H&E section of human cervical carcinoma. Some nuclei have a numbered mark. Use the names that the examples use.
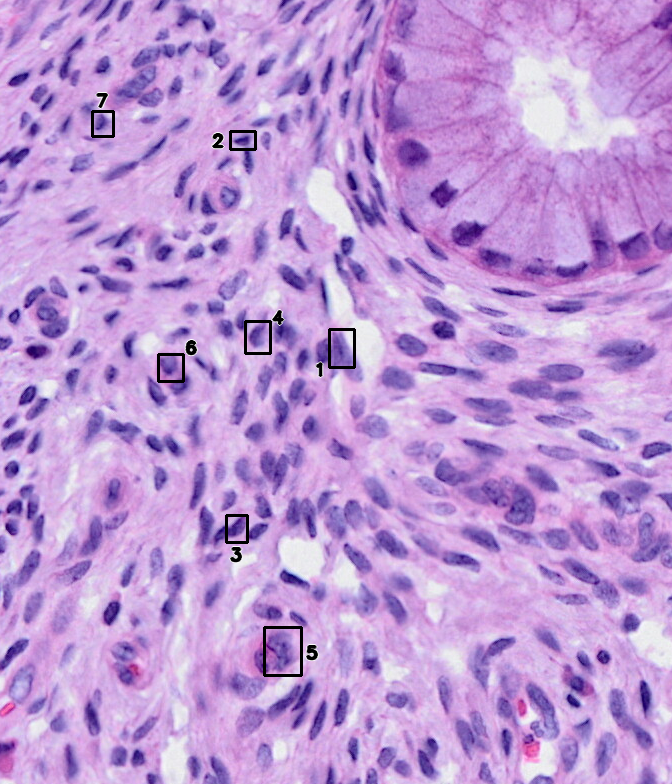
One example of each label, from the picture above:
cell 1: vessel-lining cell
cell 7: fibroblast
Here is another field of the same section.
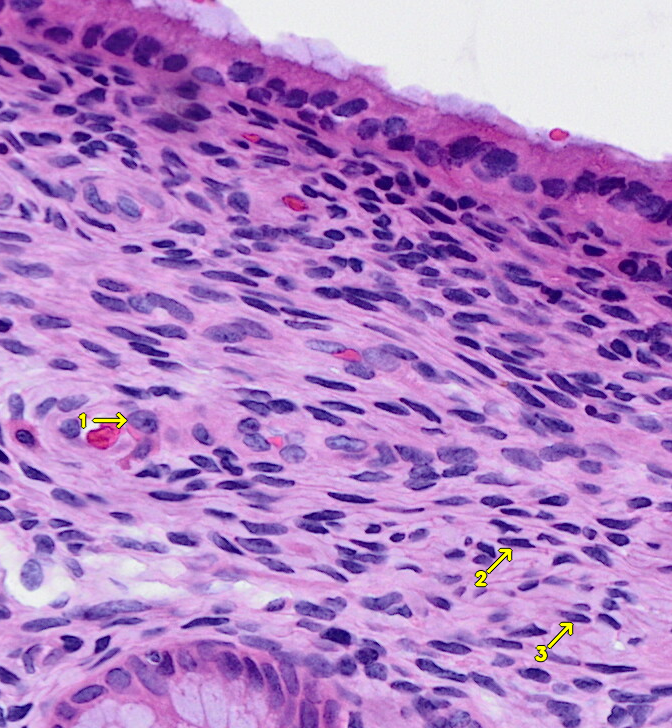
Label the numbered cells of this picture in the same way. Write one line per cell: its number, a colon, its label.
1: vessel-lining cell
2: fibroblast
3: fibroblast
